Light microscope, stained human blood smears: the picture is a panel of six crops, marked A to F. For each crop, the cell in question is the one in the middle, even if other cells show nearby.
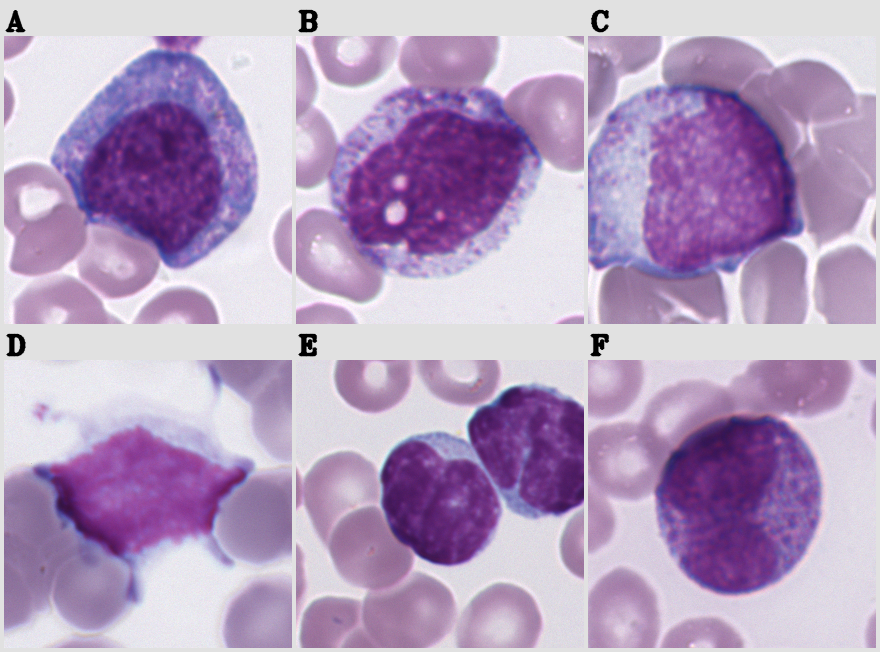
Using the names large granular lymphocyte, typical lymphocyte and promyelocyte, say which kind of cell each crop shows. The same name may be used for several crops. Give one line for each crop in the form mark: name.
A: promyelocyte
B: promyelocyte
C: promyelocyte
D: typical lymphocyte
E: typical lymphocyte
F: promyelocyte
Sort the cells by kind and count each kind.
promyelocyte: 4
typical lymphocyte: 2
